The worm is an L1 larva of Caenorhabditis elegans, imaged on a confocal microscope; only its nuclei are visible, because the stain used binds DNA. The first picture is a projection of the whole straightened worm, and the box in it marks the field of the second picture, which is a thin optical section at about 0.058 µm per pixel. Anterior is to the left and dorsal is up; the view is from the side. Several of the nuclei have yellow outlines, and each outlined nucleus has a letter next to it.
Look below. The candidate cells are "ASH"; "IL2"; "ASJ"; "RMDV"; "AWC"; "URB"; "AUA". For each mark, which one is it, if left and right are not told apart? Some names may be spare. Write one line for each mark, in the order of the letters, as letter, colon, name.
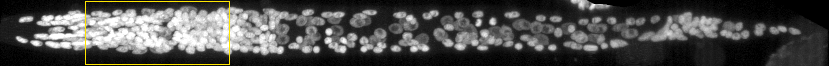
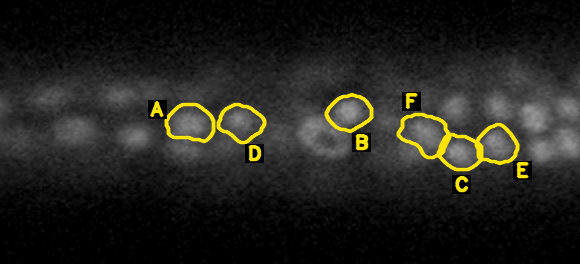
A: IL2
B: RMDV
C: AUA
D: URB
E: ASJ
F: AWC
